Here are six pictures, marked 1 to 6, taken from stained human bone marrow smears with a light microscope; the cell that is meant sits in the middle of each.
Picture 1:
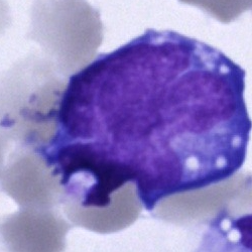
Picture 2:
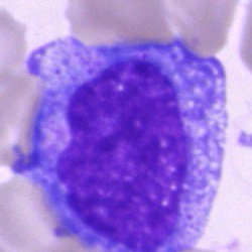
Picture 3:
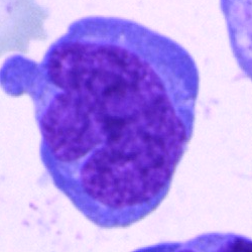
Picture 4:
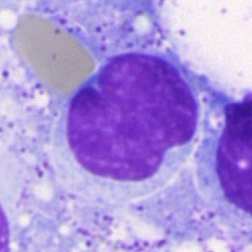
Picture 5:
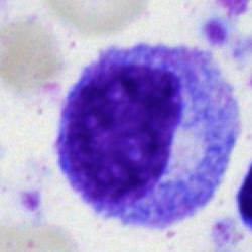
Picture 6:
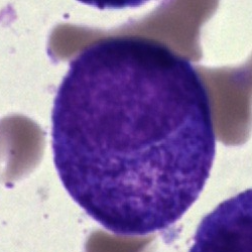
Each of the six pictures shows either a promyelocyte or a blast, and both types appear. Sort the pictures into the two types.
1: blast
2: promyelocyte
3: blast
4: blast
5: promyelocyte
6: promyelocyte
